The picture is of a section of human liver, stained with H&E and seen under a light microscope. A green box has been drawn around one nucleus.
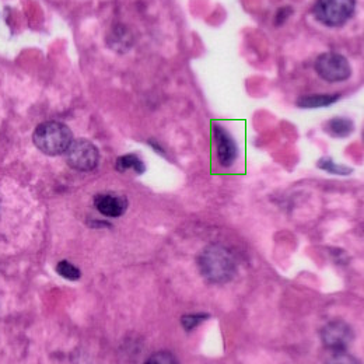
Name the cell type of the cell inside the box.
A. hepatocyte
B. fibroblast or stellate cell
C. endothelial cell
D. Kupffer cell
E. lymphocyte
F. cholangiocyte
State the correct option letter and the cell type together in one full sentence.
The proper choice here is B: the cell inside the box is a fibroblast or stellate cell.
